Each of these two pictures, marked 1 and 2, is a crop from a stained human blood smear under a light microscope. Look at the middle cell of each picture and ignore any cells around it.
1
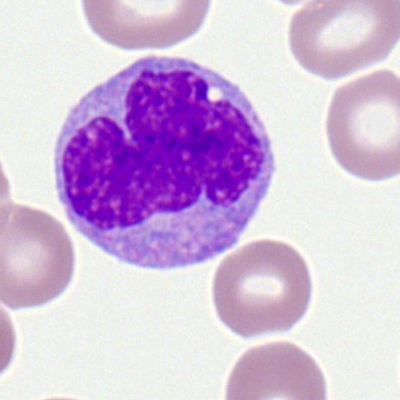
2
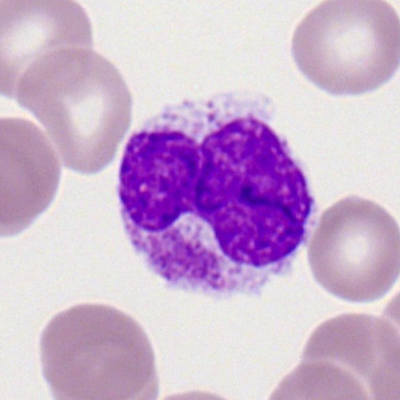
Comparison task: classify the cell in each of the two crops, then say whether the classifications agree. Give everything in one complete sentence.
No, a monocyte is shown in crop 1 and an eosinophil in crop 2.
